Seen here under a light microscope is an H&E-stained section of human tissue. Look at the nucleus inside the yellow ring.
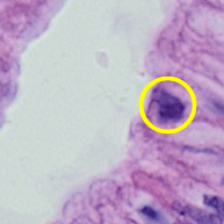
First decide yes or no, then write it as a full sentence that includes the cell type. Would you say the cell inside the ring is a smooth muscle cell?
No, mark the cell inside the ring as a secretory epithelial cell, not as a smooth muscle cell.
